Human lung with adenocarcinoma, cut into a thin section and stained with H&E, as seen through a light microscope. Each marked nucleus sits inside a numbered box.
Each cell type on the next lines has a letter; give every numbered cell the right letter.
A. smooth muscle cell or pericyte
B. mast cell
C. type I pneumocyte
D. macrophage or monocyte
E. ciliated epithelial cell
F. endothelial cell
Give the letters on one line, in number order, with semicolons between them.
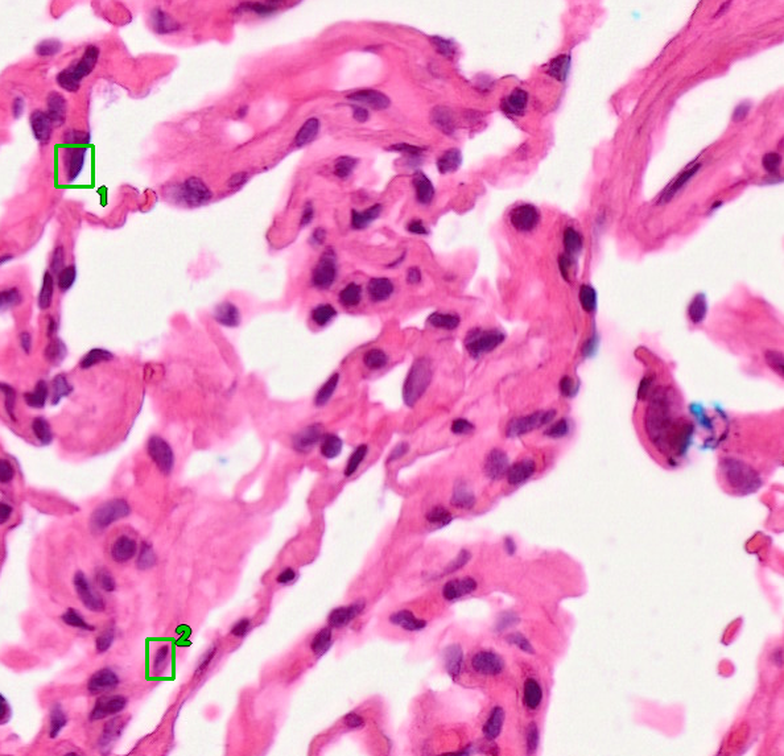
C; F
